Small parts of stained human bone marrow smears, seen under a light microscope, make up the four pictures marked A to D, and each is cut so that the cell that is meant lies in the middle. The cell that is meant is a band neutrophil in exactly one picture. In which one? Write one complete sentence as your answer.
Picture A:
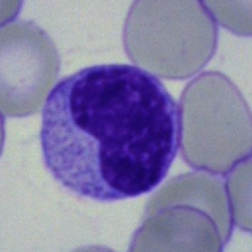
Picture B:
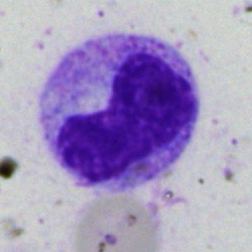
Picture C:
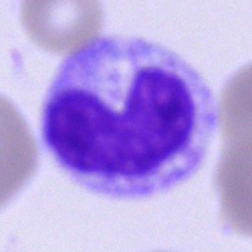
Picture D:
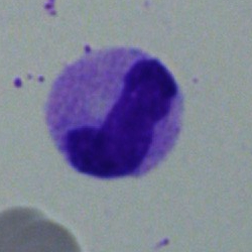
The cell in picture D is the band neutrophil.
